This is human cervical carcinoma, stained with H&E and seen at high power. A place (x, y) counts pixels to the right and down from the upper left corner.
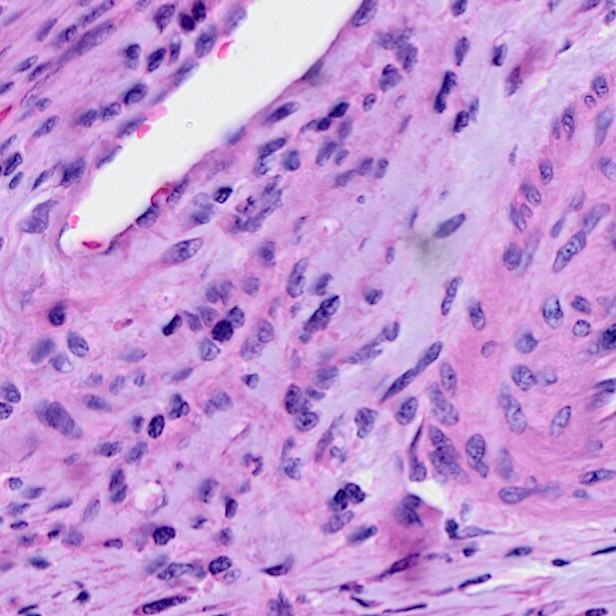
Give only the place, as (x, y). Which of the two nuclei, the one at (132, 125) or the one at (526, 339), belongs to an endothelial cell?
(132, 125)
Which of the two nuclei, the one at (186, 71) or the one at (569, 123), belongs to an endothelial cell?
(186, 71)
